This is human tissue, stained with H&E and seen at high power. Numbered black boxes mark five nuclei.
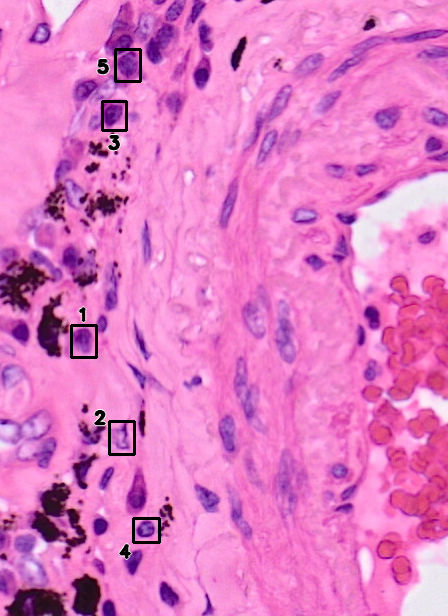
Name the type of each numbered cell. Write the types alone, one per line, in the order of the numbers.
plasma cell
fibroblast
plasma cell
mast cell
plasma cell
